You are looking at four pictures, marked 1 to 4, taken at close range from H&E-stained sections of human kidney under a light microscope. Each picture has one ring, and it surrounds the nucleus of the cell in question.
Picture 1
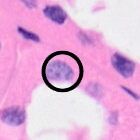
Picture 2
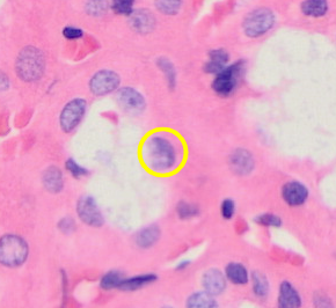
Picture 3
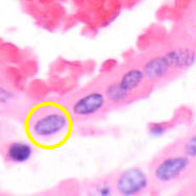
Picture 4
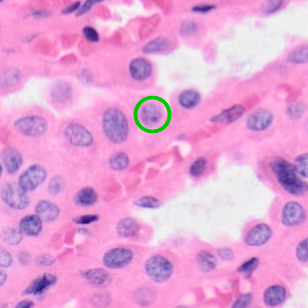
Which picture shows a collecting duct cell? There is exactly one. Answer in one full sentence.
The collecting duct cell is the one in picture 3.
